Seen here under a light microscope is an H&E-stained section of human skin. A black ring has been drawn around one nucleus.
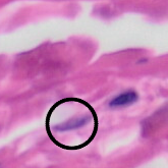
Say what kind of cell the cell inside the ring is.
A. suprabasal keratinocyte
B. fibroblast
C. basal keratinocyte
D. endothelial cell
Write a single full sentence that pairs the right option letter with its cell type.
Option B is correct in stating that the cell inside the ring is a fibroblast.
